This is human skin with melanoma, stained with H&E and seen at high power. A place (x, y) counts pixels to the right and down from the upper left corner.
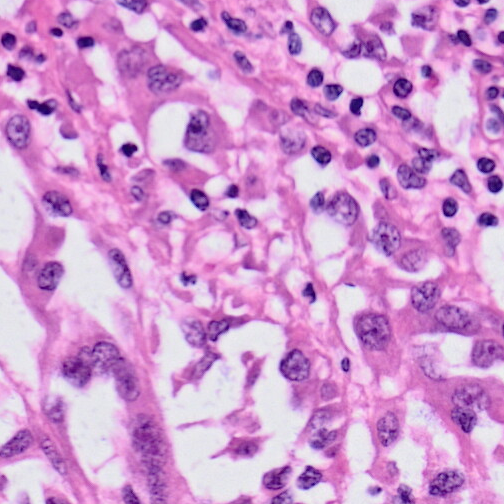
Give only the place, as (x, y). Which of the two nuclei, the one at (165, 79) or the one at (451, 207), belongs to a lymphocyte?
(451, 207)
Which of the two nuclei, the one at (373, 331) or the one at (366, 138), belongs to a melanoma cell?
(373, 331)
